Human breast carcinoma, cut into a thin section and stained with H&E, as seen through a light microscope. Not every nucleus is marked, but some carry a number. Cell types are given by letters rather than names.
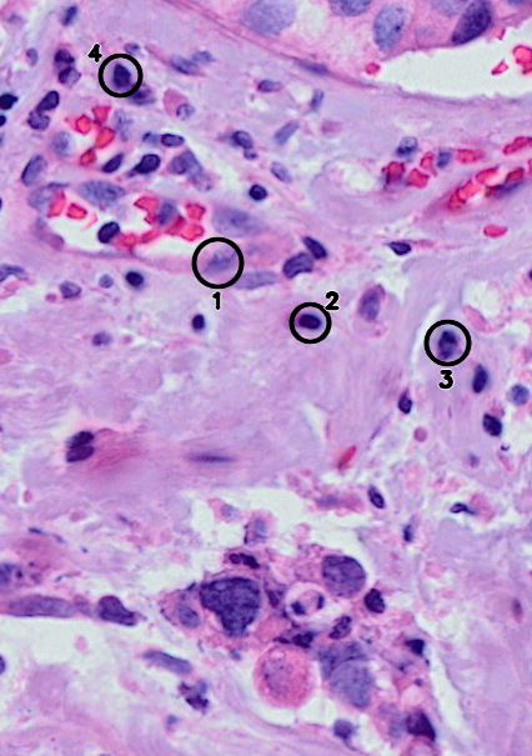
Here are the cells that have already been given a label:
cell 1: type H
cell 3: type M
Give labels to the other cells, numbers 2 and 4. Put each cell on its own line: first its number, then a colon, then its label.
2: type M
4: type M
